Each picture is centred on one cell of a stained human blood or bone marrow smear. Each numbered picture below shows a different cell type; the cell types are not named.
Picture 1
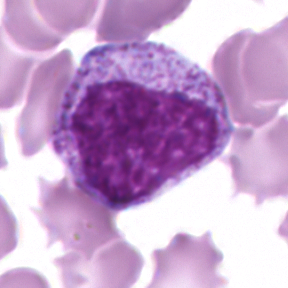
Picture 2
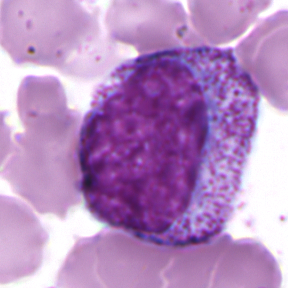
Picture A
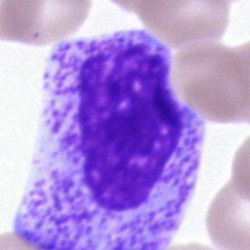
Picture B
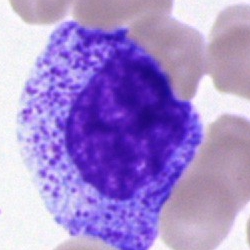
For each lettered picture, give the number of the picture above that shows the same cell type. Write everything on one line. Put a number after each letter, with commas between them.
A 1, B 1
